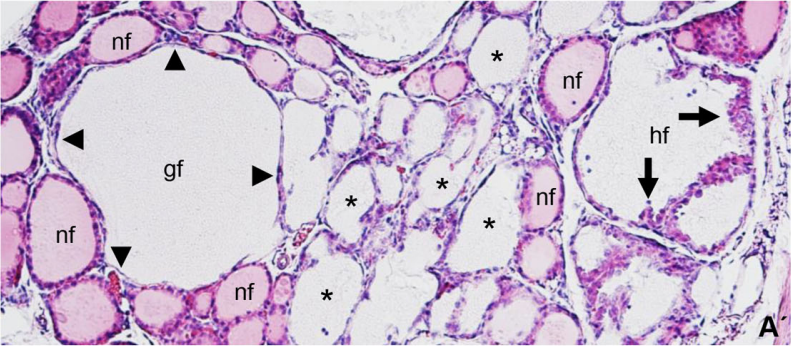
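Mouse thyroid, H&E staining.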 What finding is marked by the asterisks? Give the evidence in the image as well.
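Lack of colloid. The follicles marked by asterisks have pale, nearly clear lumens. Neighbouring follicles contain pink, homogeneous content.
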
